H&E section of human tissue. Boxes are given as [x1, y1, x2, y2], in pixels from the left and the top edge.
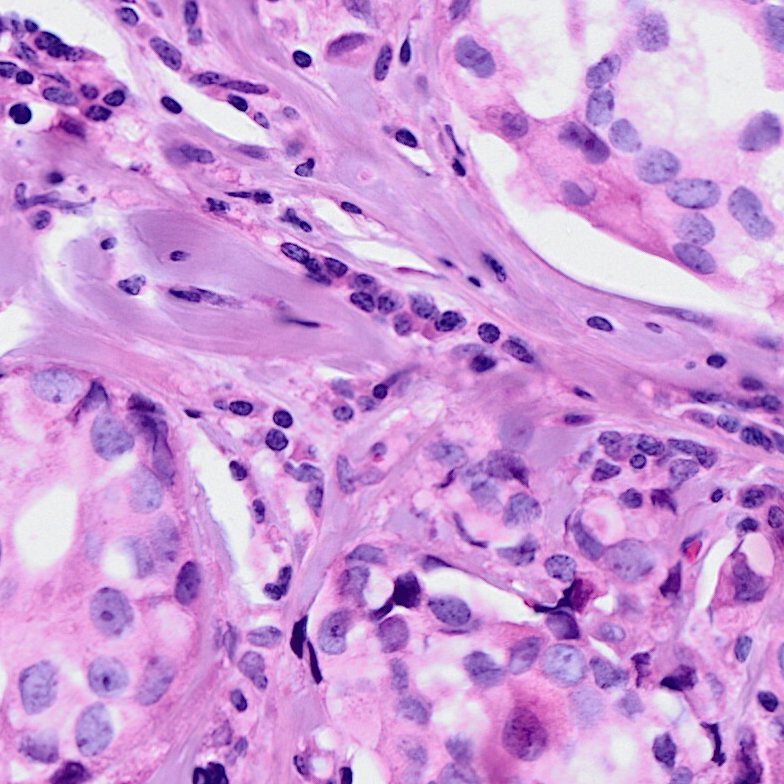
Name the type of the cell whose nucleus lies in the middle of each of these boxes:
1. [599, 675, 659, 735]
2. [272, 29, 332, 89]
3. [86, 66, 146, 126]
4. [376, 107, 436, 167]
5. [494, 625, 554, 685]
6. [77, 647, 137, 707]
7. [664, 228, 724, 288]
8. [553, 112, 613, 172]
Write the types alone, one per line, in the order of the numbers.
carcinoma cell
lymphocyte
lymphocyte
lymphocyte
carcinoma cell
carcinoma cell
carcinoma cell
carcinoma cell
